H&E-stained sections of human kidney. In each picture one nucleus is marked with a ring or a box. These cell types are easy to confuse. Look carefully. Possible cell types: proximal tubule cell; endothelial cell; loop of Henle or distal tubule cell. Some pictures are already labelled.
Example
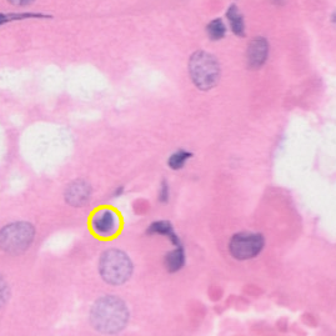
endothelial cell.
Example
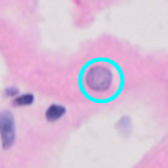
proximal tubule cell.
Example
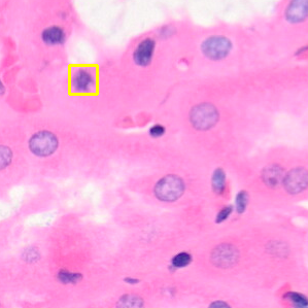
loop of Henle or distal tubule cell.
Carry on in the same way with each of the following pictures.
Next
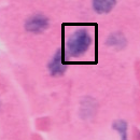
loop of Henle or distal tubule cell.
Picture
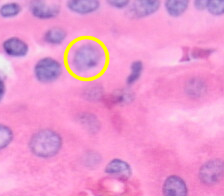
loop of Henle or distal tubule cell.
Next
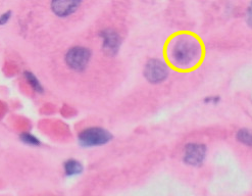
proximal tubule cell.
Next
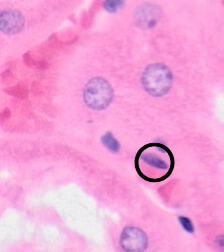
endothelial cell.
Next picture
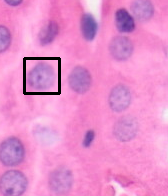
proximal tubule cell.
